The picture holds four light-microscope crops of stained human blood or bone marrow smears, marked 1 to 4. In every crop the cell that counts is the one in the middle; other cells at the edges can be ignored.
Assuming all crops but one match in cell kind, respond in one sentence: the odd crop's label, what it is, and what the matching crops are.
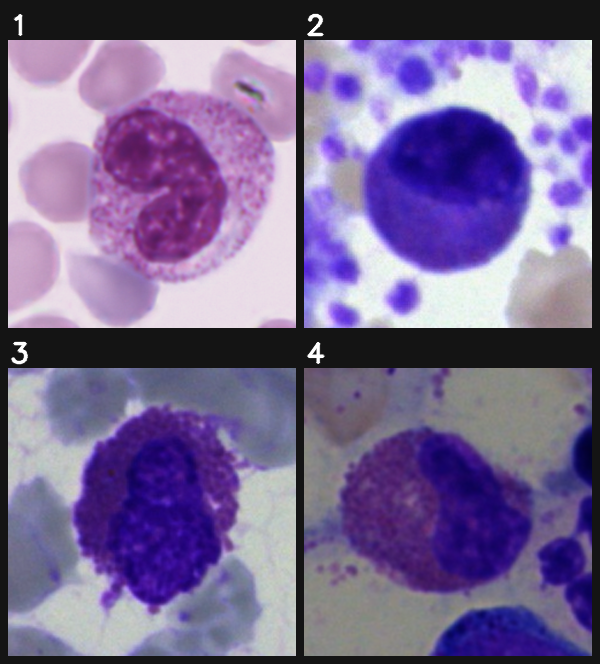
The single exception is crop 1, which is a band neutrophil; all other crops show eosinophils.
